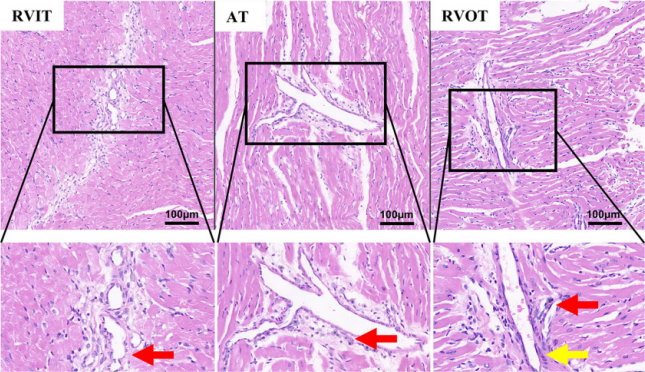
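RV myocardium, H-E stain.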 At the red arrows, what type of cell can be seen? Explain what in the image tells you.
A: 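The arrows point at small, dark purple nuclei gathered around small vessel lumens. The surrounding pink muscle fibres hold only sparse elongated nuclei.
Hence: peri-microvascular inflammatory cells.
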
